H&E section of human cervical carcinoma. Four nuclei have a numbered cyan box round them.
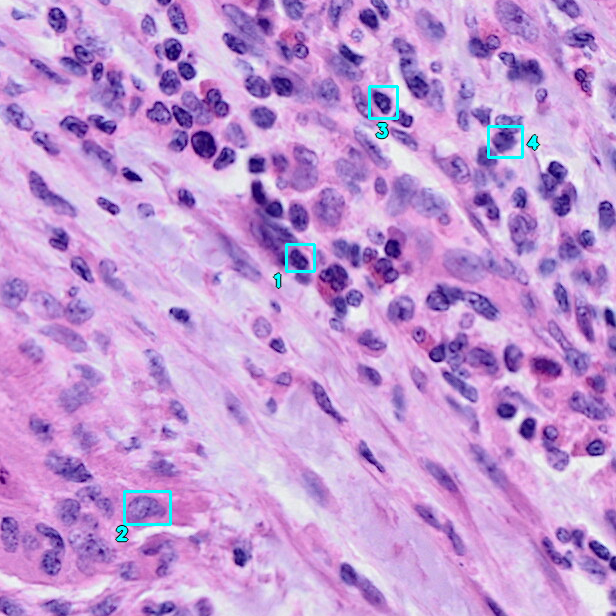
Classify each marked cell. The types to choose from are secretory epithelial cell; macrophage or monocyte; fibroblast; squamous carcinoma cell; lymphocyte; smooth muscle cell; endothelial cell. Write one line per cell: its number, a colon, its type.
1: lymphocyte
2: squamous carcinoma cell
3: lymphocyte
4: lymphocyte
